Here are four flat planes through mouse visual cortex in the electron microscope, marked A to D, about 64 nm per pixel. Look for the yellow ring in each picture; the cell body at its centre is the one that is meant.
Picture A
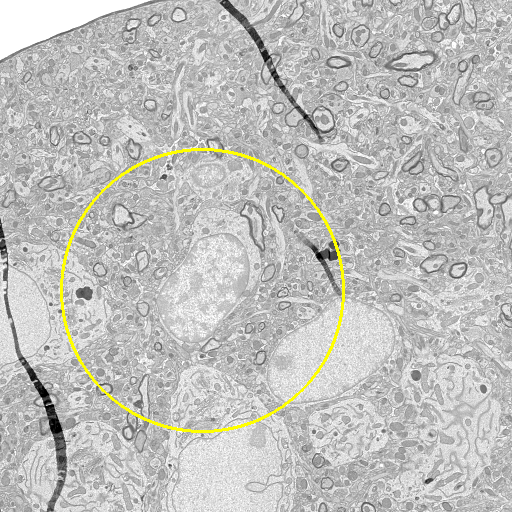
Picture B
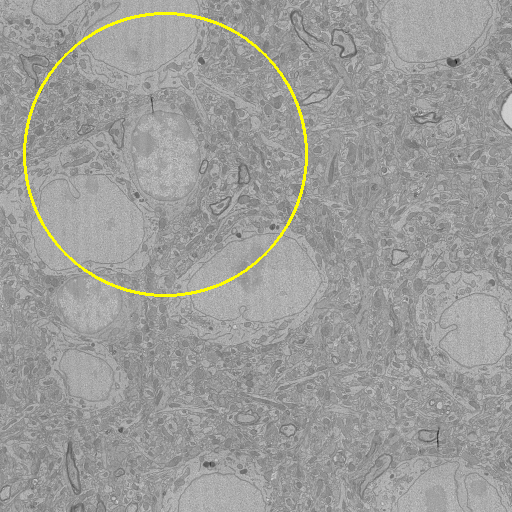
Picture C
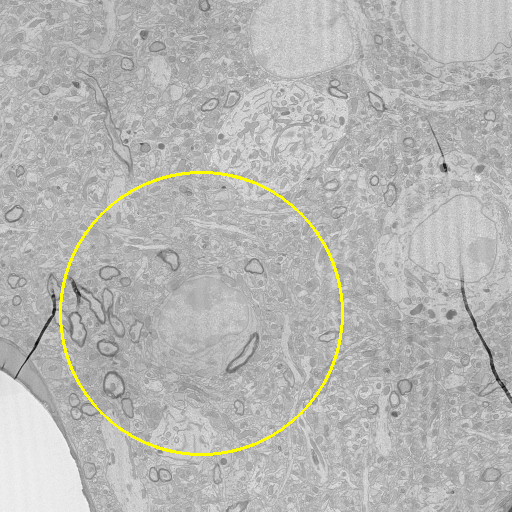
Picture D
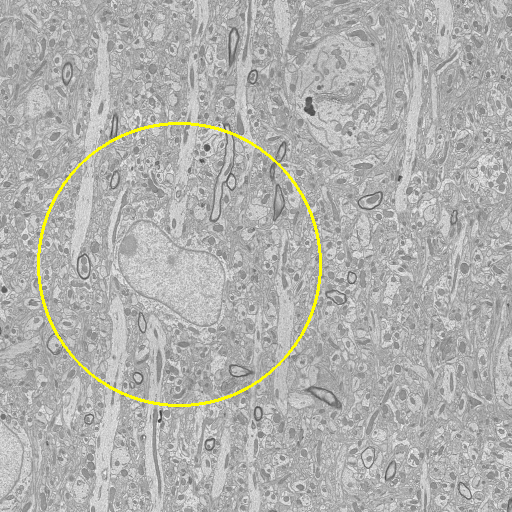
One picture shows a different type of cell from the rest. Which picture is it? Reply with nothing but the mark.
D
